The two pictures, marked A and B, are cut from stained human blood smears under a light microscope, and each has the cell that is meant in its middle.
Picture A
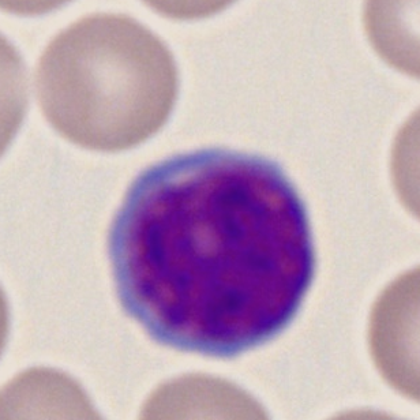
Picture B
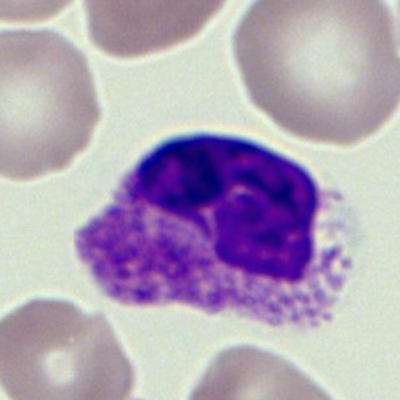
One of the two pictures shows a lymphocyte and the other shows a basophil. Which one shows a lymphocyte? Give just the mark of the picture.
A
